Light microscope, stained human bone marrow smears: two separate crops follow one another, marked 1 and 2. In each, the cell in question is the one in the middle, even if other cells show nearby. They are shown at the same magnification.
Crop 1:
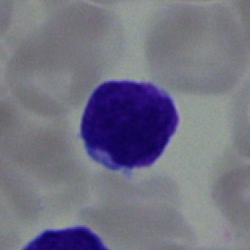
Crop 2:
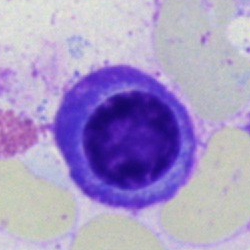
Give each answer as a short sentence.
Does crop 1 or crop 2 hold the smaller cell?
It is the cell in crop 1; the cell in crop 2 has about 2 times its area.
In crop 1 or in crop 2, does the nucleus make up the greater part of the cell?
It is the cell in crop 1 that is filled more by its nucleus.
